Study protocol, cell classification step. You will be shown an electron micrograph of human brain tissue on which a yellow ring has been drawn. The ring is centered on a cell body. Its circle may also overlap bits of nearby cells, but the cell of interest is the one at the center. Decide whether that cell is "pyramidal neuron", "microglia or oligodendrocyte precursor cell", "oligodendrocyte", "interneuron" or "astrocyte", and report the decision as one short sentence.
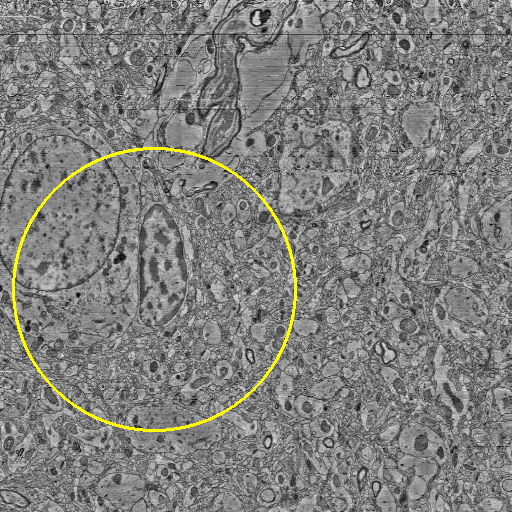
The marked cell is a microglial cell or oligodendrocyte precursor cell.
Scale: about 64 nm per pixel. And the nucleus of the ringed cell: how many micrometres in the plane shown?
Roughly 8 by 3 micrometres in this plane, for the nucleus of the ringed cell.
